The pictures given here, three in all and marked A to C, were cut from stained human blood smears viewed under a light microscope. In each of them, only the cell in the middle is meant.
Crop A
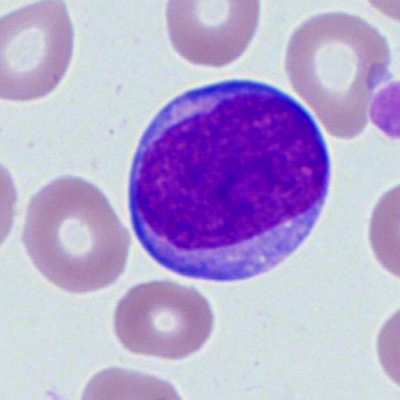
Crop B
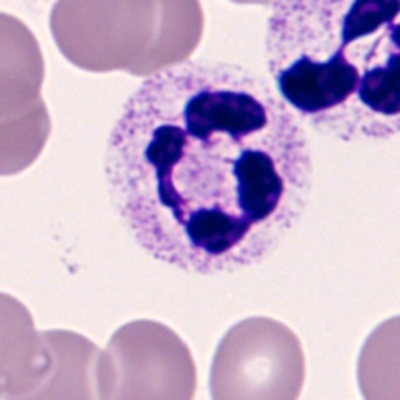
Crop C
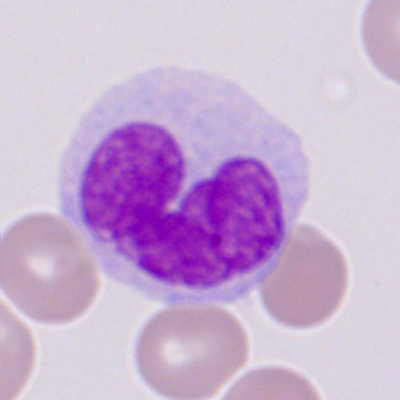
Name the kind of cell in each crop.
A: myeloblast
B: segmented neutrophil
C: monocyte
